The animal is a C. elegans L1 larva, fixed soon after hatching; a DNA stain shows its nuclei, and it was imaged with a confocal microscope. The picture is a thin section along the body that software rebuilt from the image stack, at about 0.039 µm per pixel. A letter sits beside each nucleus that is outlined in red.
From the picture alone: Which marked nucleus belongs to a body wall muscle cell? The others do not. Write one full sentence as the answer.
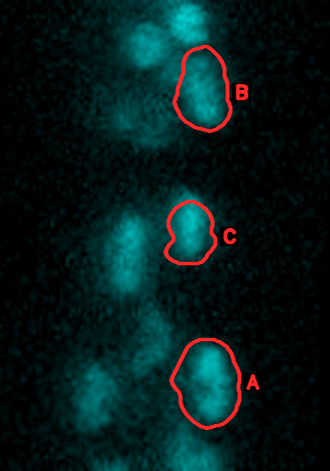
Nucleus C belongs to a body wall muscle cell.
